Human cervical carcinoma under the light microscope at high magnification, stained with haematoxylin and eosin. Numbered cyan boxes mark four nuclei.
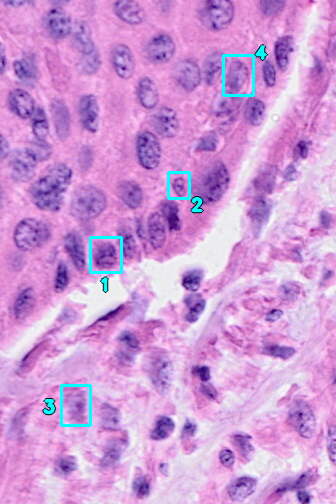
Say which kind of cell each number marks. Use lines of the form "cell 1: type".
cell 1: squamous carcinoma cell
cell 2: squamous carcinoma cell
cell 3: fibroblast
cell 4: squamous carcinoma cell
